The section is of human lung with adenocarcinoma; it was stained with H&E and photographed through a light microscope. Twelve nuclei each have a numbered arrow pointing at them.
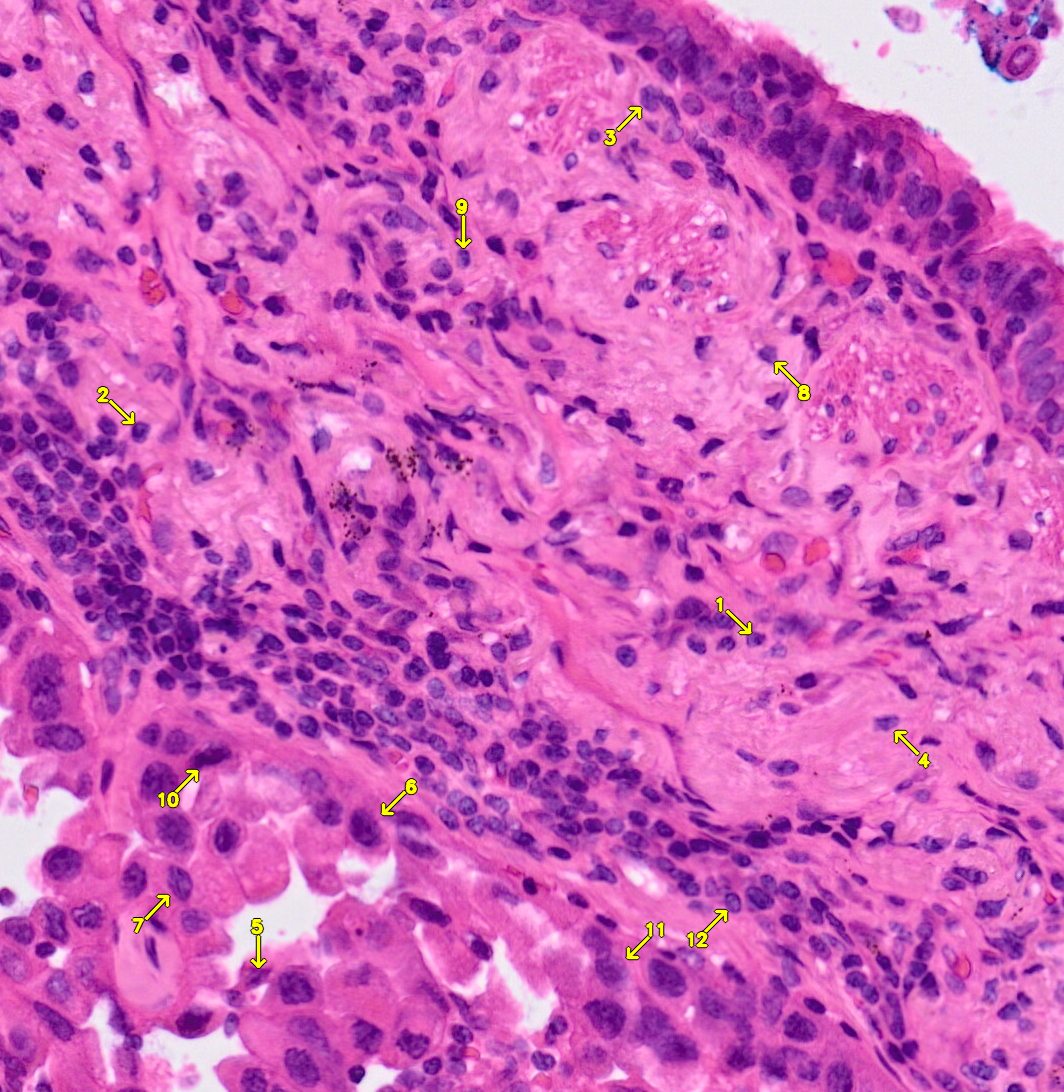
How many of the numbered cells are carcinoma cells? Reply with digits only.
5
